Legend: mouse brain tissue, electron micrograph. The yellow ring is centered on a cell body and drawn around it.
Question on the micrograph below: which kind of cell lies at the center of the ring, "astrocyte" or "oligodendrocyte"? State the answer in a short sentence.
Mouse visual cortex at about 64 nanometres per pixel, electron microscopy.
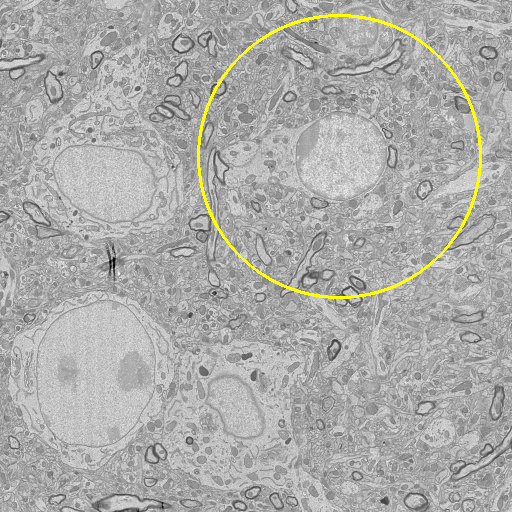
At the center of the ring lies an oligodendrocyte.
